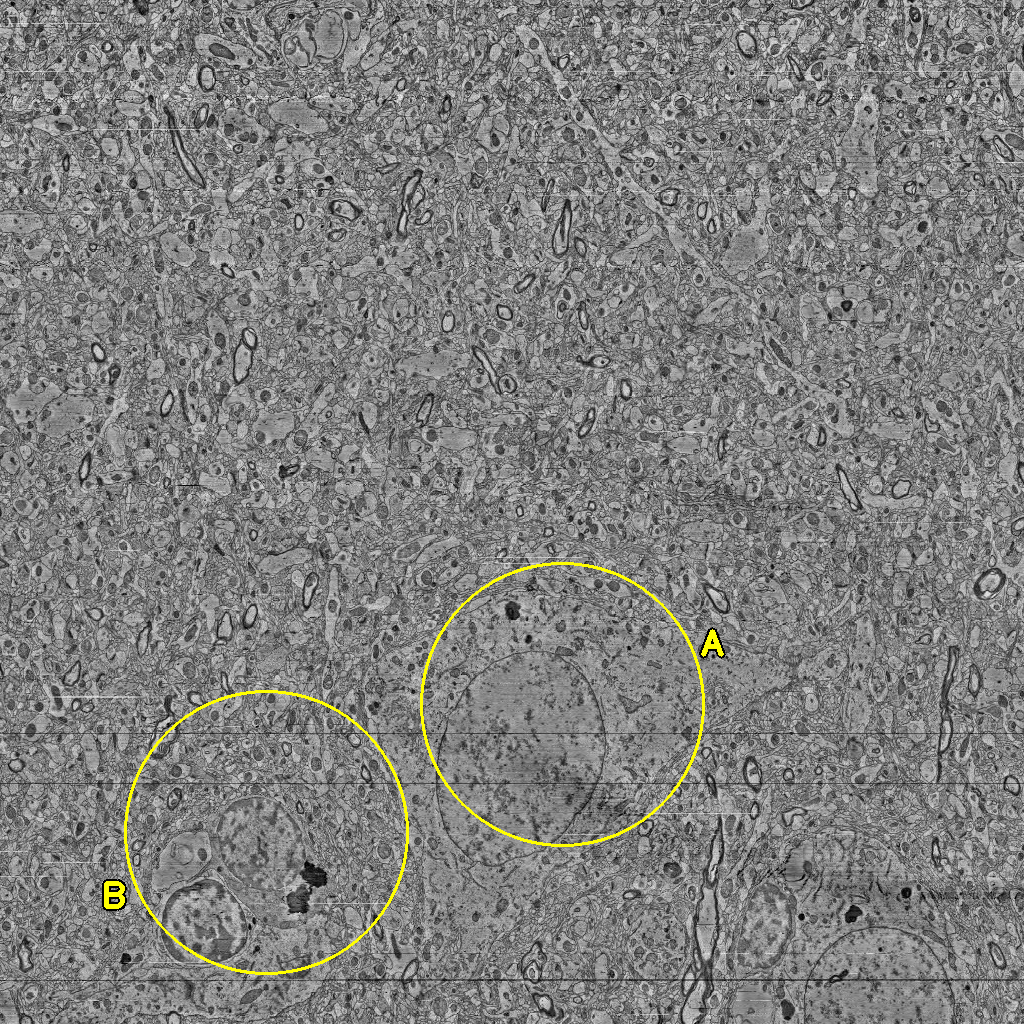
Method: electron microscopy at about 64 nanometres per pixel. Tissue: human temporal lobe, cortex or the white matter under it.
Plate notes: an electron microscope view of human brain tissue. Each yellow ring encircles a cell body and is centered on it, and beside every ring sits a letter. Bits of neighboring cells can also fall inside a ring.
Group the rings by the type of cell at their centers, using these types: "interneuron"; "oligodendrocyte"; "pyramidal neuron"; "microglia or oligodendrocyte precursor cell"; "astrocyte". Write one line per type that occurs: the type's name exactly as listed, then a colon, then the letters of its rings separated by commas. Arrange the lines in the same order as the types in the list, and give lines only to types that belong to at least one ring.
oligodendrocyte: B
pyramidal neuron: A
